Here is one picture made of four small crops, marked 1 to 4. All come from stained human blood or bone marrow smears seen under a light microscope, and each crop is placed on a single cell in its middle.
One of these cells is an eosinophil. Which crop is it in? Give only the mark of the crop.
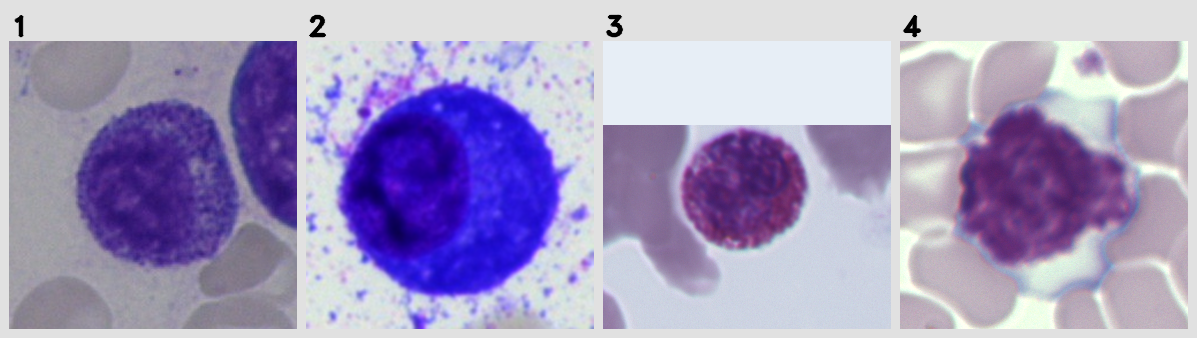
3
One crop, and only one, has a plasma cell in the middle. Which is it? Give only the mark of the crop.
2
